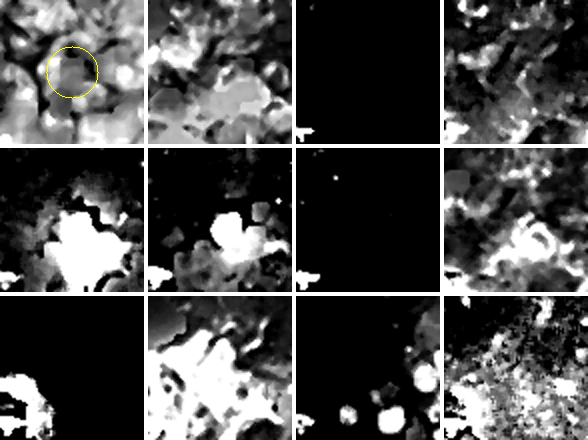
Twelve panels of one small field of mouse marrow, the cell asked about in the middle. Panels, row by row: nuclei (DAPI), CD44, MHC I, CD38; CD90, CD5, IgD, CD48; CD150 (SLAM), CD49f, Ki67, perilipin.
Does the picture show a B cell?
No, it shows a T cell.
